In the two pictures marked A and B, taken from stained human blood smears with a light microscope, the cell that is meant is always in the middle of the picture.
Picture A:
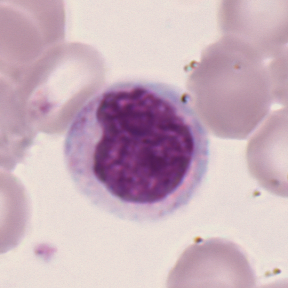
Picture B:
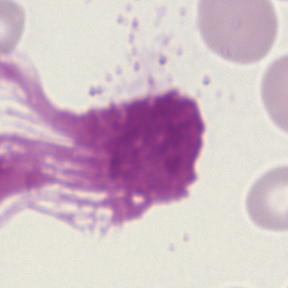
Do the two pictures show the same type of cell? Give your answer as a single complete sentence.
No. Picture A shows a metamyelocyte, but picture B shows a smudge cell.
